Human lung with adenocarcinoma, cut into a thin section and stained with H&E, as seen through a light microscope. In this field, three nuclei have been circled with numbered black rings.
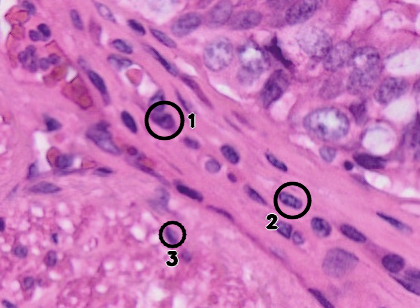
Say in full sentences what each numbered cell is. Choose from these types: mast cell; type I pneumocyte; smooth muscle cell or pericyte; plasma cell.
Cell 1 is a plasma cell, cell 2 is a mast cell and cell 3 is a smooth muscle cell or pericyte.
